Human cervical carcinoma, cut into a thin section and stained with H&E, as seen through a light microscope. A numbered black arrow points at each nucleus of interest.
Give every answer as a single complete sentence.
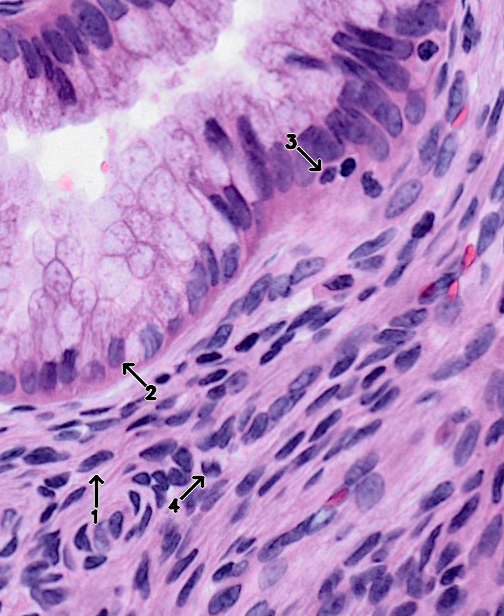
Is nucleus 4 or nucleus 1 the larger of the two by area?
Number 1 is larger; its area is about 1.5 times that of number 4.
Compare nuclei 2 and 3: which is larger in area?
Of the two, number 2 is bigger and takes up about 1.5 times the area of number 3.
